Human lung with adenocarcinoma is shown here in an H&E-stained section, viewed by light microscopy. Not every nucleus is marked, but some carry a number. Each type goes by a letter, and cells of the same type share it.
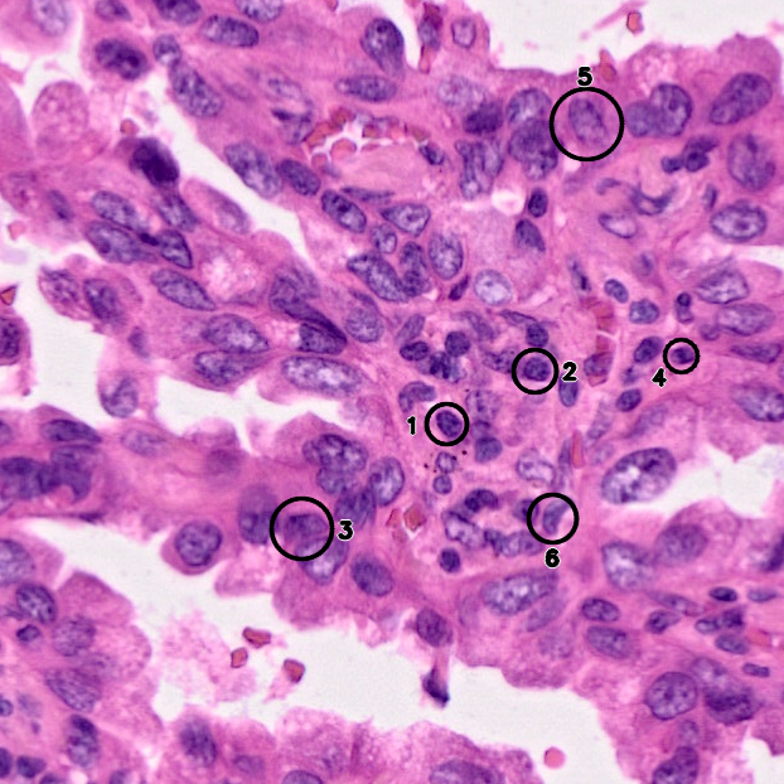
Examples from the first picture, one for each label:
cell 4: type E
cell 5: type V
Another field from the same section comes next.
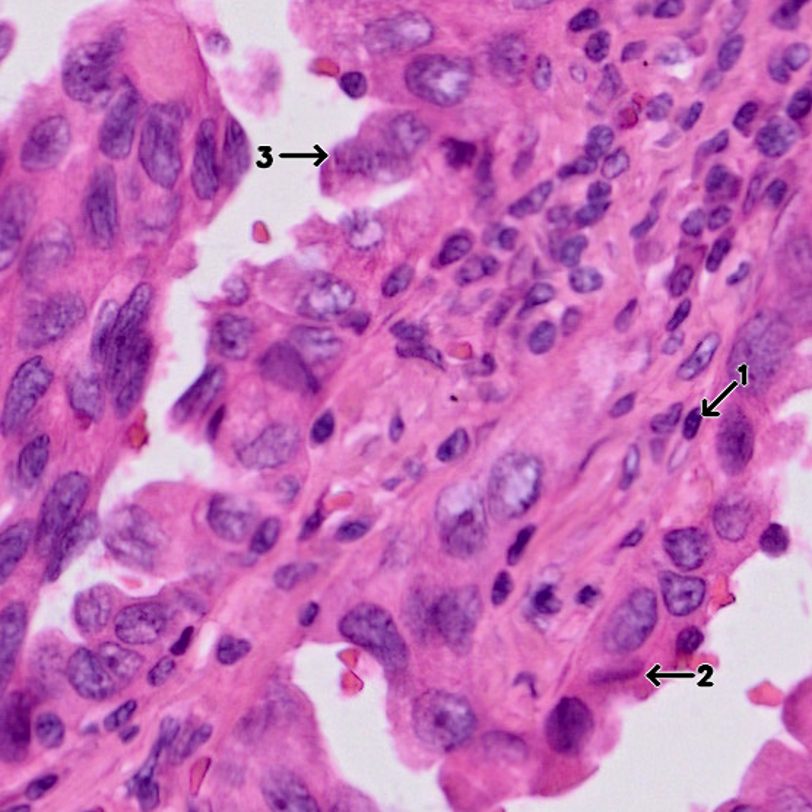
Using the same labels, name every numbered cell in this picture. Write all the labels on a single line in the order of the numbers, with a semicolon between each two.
type E; type V; type V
